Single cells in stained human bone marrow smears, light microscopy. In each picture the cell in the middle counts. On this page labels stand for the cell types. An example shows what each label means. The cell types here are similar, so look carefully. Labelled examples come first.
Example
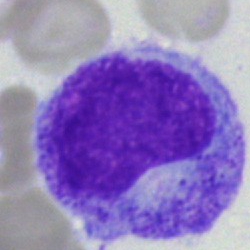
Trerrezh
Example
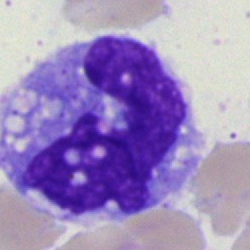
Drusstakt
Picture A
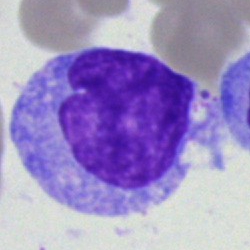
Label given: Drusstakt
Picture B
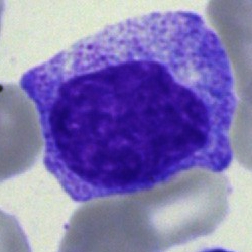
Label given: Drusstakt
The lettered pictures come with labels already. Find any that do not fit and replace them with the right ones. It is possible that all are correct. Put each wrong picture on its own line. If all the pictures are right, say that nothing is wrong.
B: change Drusstakt to Trerrezh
